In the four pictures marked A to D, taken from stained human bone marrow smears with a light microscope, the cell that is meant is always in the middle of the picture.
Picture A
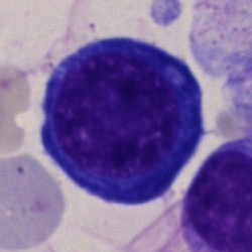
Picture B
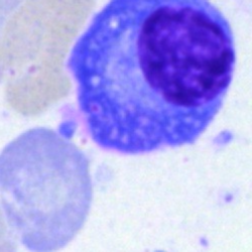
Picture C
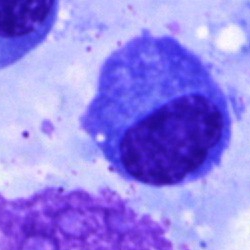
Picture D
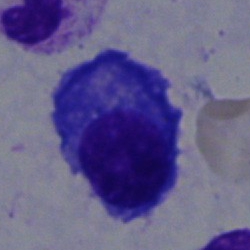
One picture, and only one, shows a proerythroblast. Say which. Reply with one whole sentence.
Picture A is the one that shows the proerythroblast.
